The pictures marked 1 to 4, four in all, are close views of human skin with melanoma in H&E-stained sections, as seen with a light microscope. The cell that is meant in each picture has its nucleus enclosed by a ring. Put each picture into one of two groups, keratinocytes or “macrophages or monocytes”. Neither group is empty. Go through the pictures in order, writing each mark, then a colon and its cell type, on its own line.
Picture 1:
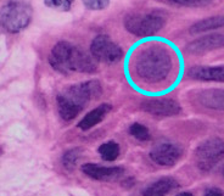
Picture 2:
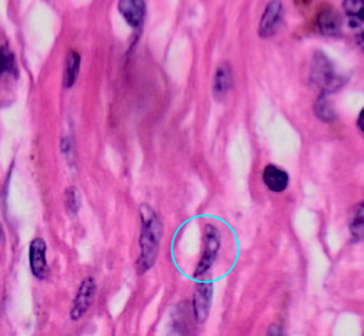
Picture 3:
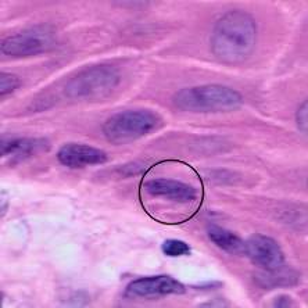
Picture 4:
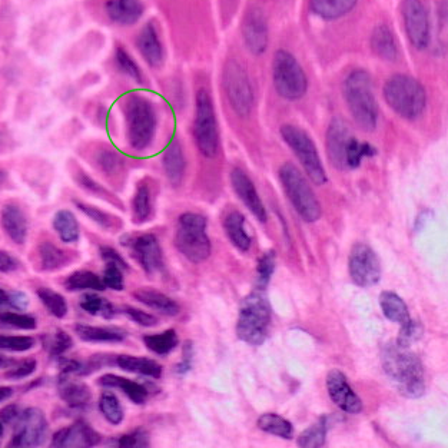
1: keratinocyte
2: macrophage or monocyte
3: keratinocyte
4: keratinocyte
